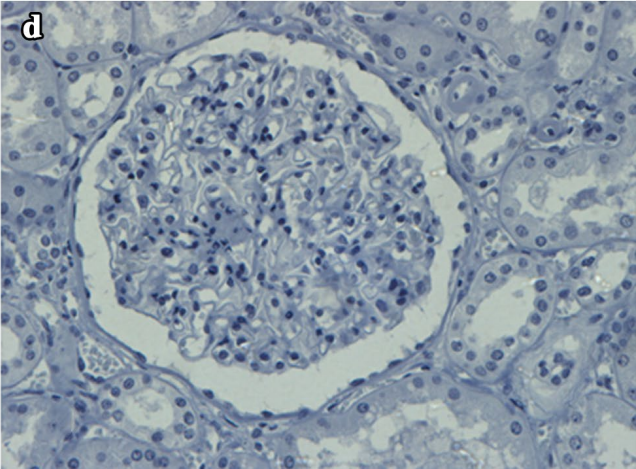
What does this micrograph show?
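A large round glomerulus fills the centre, a dense tuft of capillary loops with many dark blue nuclei, separated by a clear space from a thin capsule lined by flat cells. Tubules surround it, each a ring of cuboidal epithelial cells with round central nuclei and pale cytoplasm around a lumen. The whole section is blue to grey with no brown staining in either the glomerulus or the tubules.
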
